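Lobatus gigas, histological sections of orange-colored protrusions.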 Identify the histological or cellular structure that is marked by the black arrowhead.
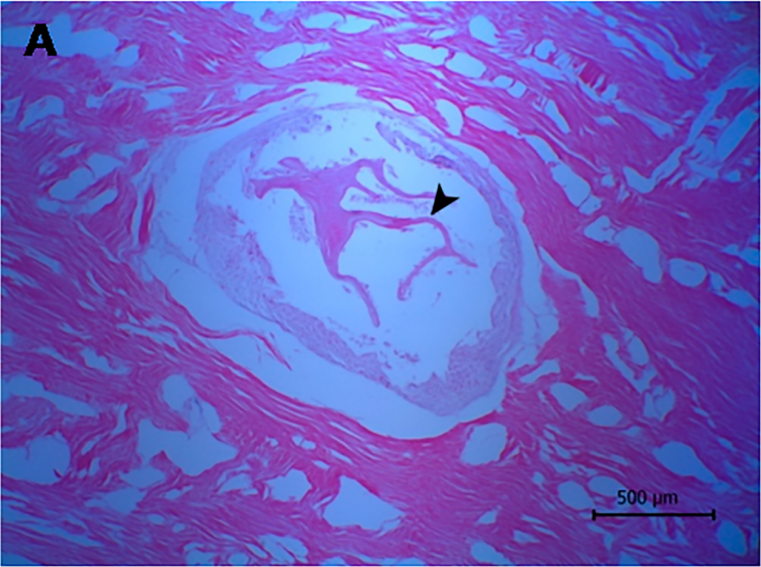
lamellated membrane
